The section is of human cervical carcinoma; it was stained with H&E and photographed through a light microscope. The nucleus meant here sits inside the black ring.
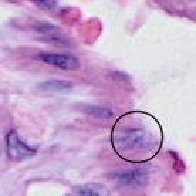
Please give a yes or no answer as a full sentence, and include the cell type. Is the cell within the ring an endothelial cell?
Yes, the cell within the ring is an endothelial cell; nothing to add.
